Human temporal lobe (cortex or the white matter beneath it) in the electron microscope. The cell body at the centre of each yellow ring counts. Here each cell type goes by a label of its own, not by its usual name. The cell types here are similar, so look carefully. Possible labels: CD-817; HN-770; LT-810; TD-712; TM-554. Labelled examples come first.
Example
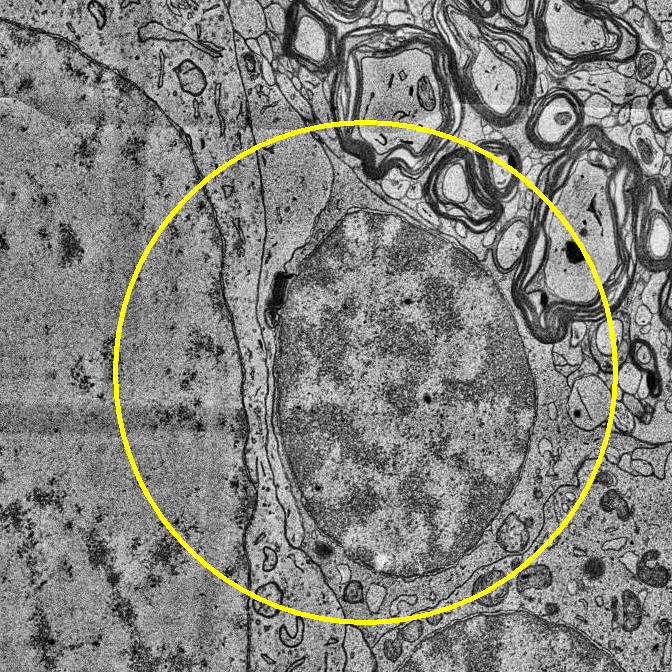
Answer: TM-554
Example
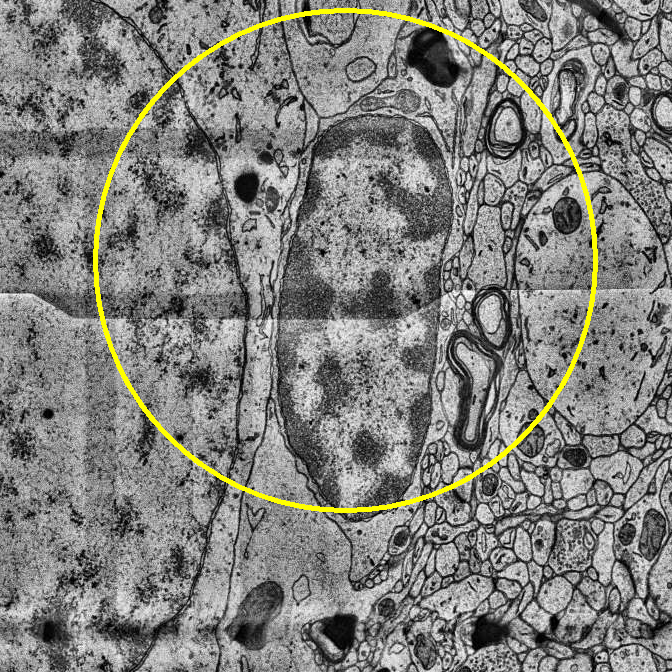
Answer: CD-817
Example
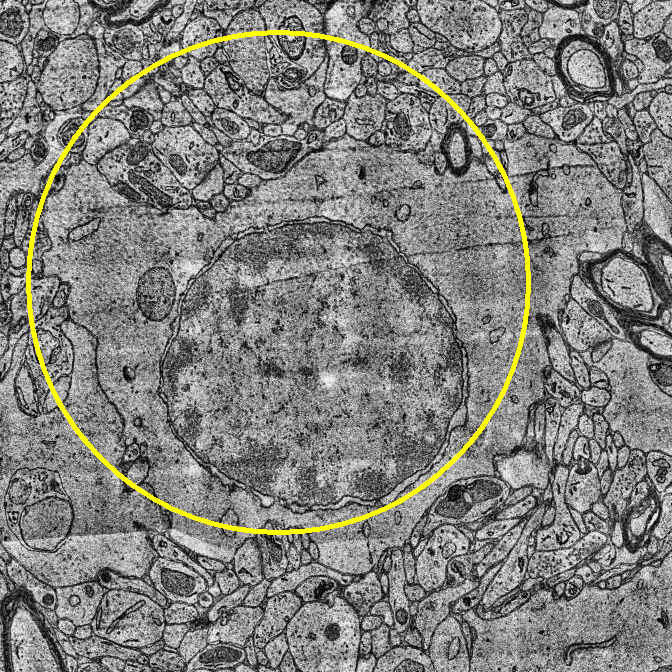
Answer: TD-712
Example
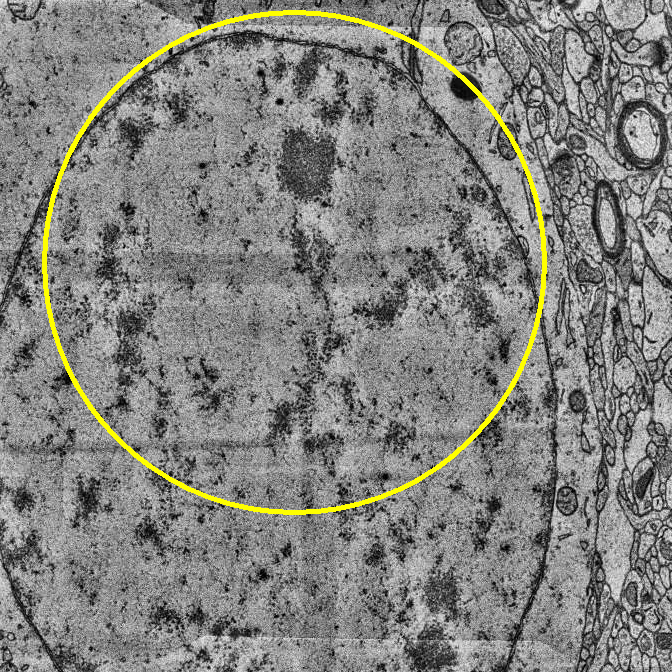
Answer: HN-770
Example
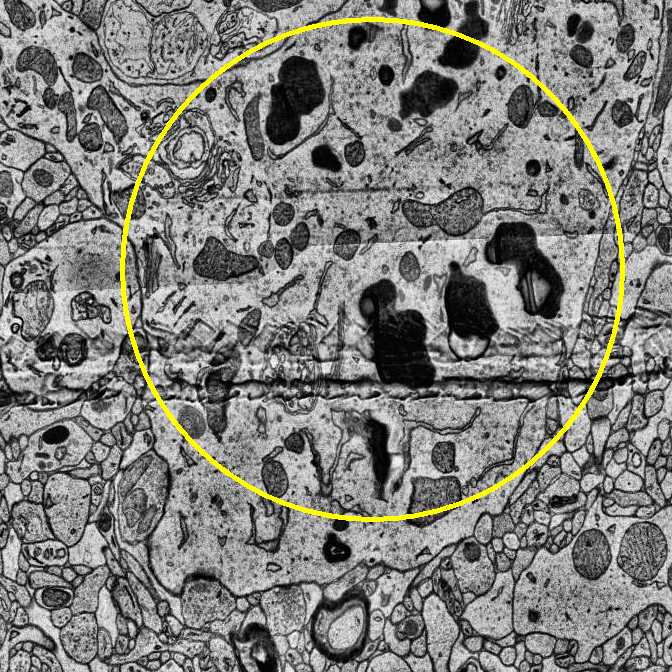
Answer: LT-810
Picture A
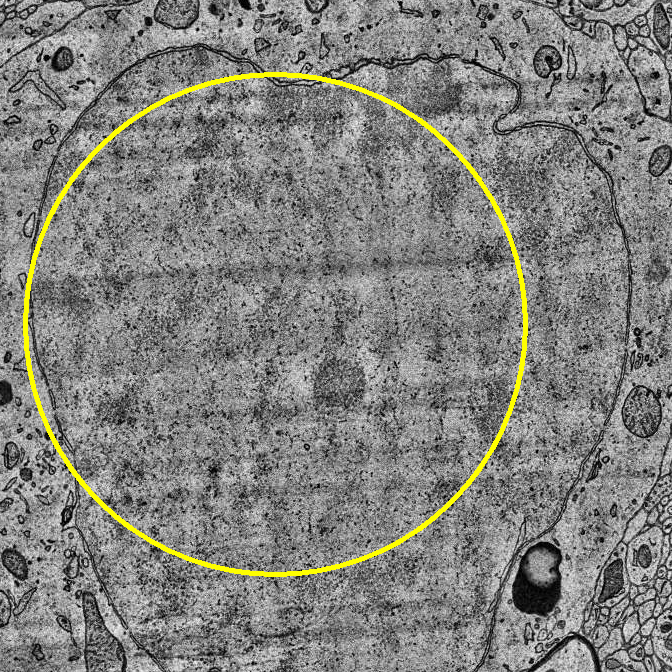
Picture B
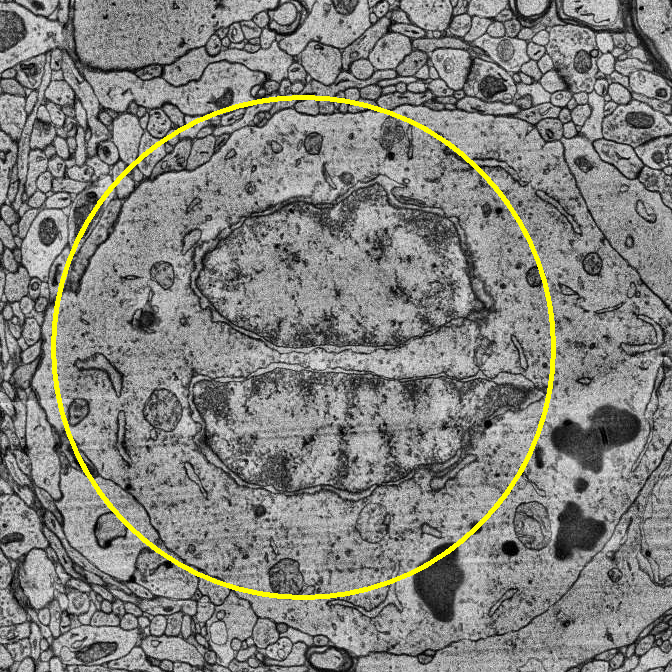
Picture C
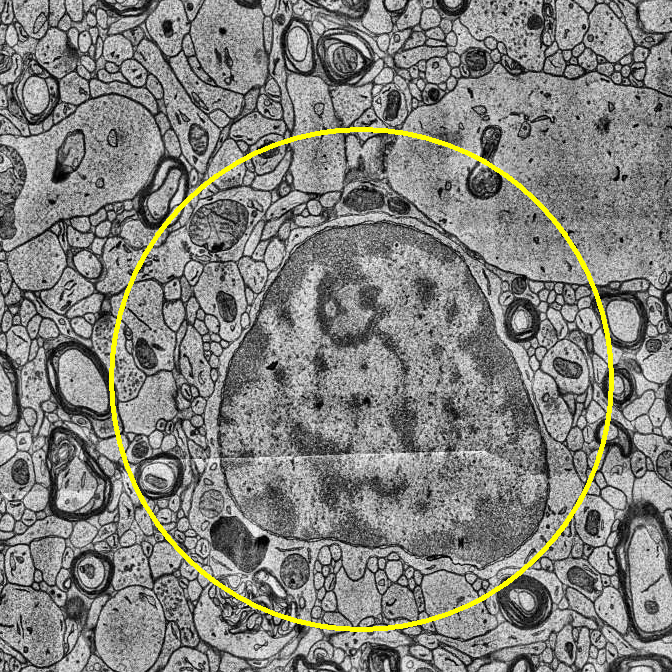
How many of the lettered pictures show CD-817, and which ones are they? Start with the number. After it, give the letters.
1: C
